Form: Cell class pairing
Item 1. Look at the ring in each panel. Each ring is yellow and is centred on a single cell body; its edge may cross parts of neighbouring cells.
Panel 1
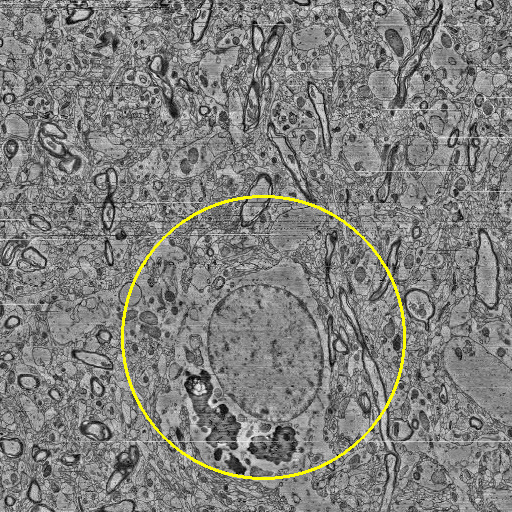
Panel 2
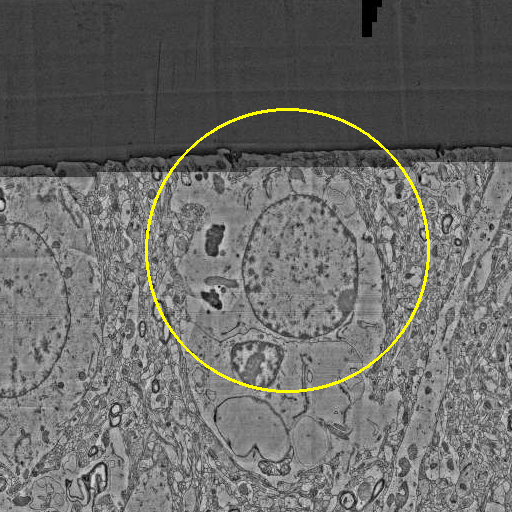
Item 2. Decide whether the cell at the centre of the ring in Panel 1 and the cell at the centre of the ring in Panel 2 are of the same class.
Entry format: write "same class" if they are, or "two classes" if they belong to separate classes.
same class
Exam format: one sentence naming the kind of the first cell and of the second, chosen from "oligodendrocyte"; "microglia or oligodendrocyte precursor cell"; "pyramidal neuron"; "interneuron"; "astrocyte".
Each of the two rings is centred on an astrocyte.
